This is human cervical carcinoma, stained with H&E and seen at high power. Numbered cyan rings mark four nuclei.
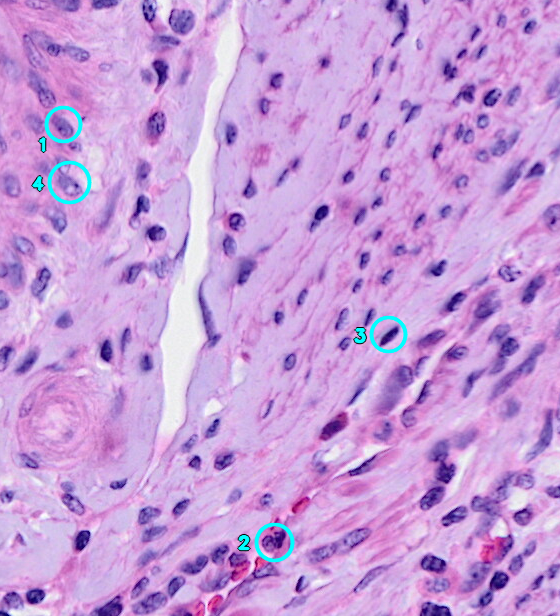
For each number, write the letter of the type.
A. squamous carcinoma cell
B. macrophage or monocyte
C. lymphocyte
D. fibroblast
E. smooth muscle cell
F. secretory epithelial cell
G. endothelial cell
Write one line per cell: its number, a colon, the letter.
1: E
2: G
3: C
4: E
